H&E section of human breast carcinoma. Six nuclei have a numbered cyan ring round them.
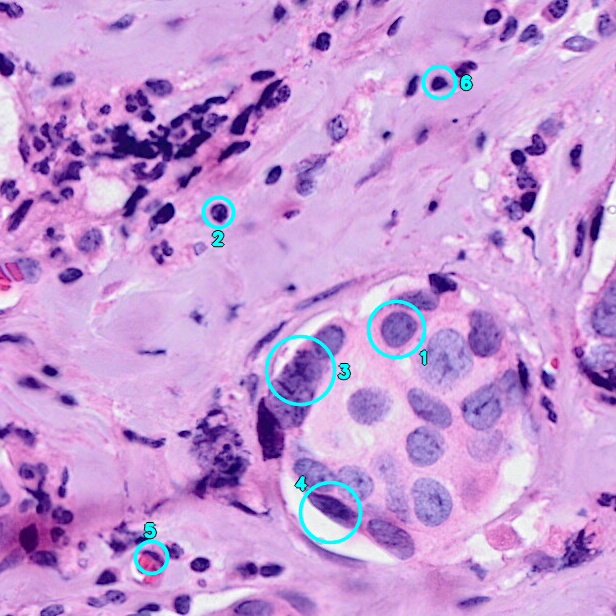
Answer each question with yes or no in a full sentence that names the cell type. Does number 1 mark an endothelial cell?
No, the cell labelled 1 is a carcinoma cell and not an endothelial cell.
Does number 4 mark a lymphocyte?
No, cell 4 is correctly identified as a carcinoma cell and not as a lymphocyte.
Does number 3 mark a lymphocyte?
No, sorry, the cell labelled 3 is not a lymphocyte; it is a carcinoma cell.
